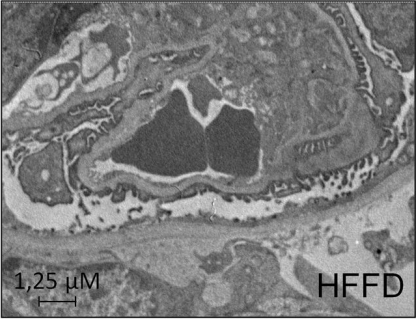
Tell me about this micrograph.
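Transmission electron micrograph of a glomerular capillary whose lumen contains two dark, densely stained red blood cells. Adjacent cell cytoplasm with small vesicles and a wide pale band of extracellular space lie beside the capillary.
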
